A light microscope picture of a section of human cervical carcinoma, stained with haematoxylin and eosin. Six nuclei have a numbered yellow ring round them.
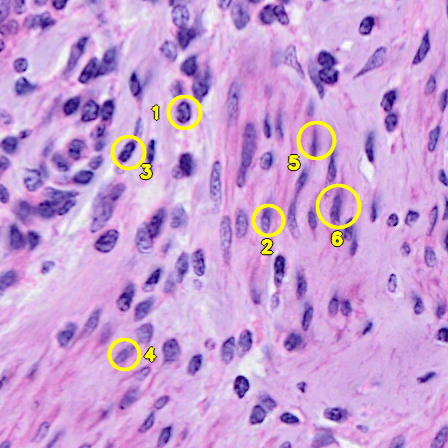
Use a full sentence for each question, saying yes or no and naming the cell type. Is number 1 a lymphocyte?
Yes, number 1 corresponds to a lymphocyte.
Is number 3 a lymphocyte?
Yes, the cell with number 3 is a lymphocyte.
